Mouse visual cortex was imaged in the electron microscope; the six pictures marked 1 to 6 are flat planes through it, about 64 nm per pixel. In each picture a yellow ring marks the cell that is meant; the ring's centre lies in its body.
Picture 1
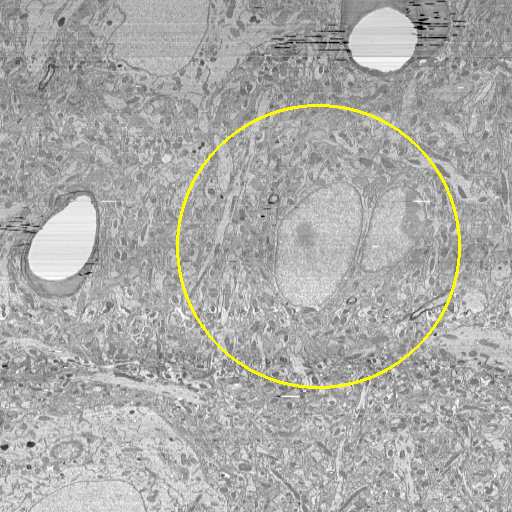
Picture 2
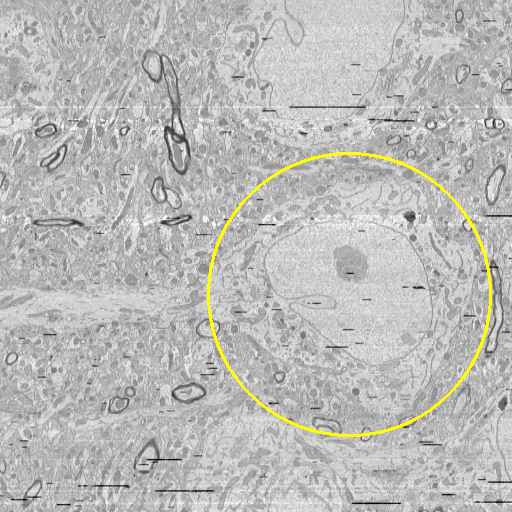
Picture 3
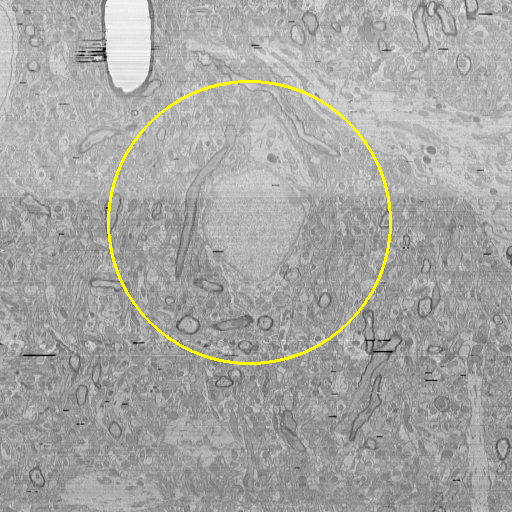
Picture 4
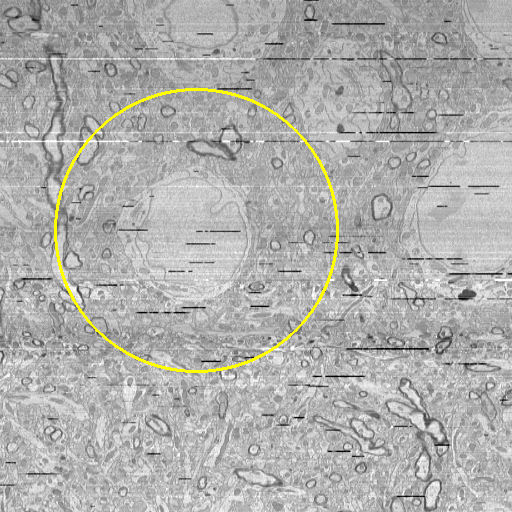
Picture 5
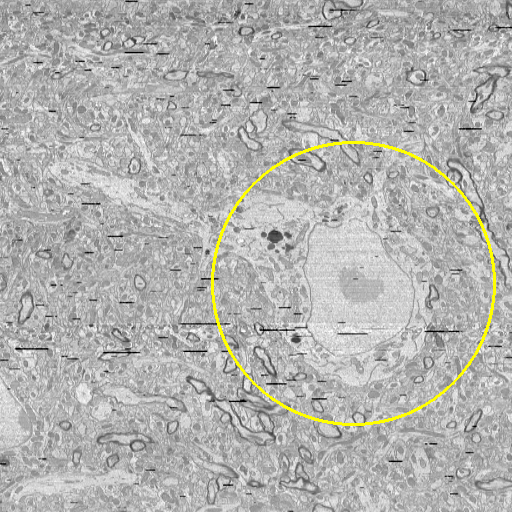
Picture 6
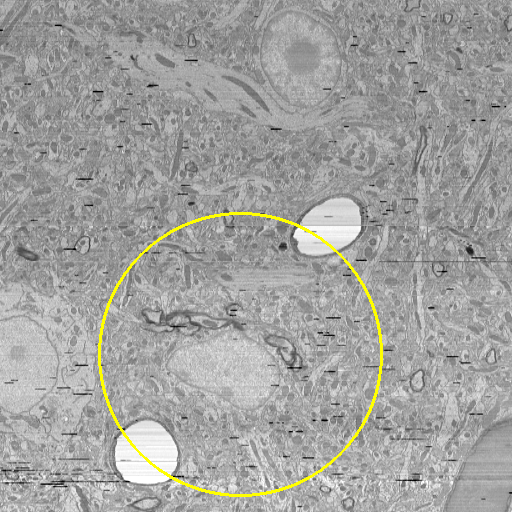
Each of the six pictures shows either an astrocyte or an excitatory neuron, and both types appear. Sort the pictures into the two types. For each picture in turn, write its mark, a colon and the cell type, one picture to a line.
1: astrocyte
2: excitatory neuron
3: astrocyte
4: excitatory neuron
5: excitatory neuron
6: astrocyte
